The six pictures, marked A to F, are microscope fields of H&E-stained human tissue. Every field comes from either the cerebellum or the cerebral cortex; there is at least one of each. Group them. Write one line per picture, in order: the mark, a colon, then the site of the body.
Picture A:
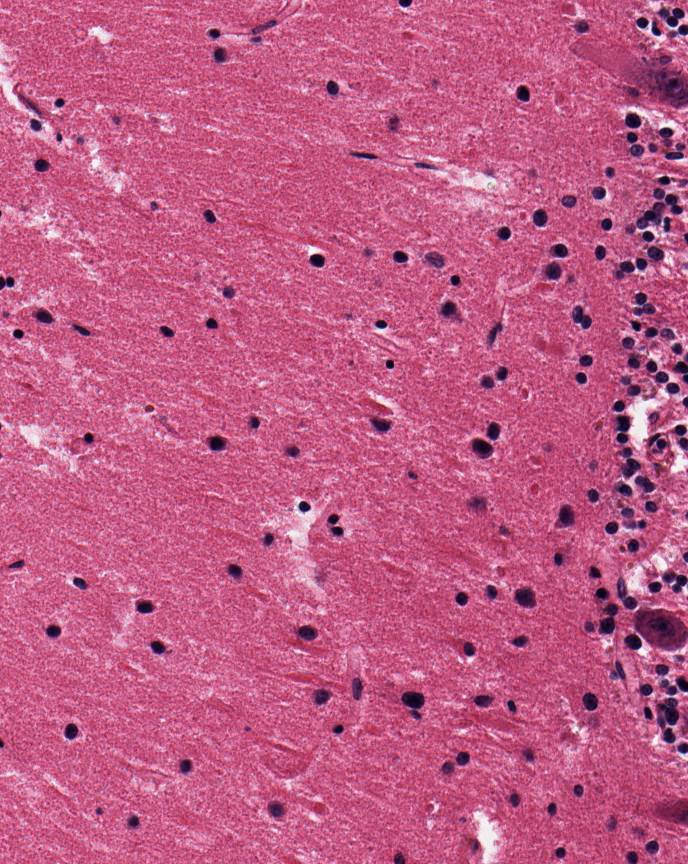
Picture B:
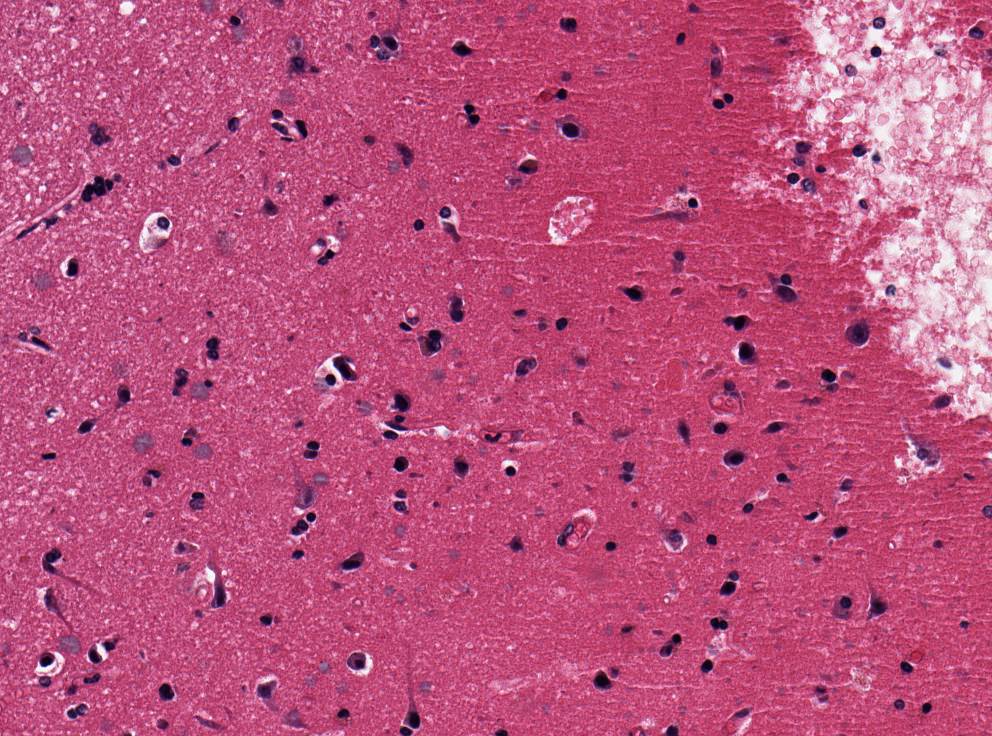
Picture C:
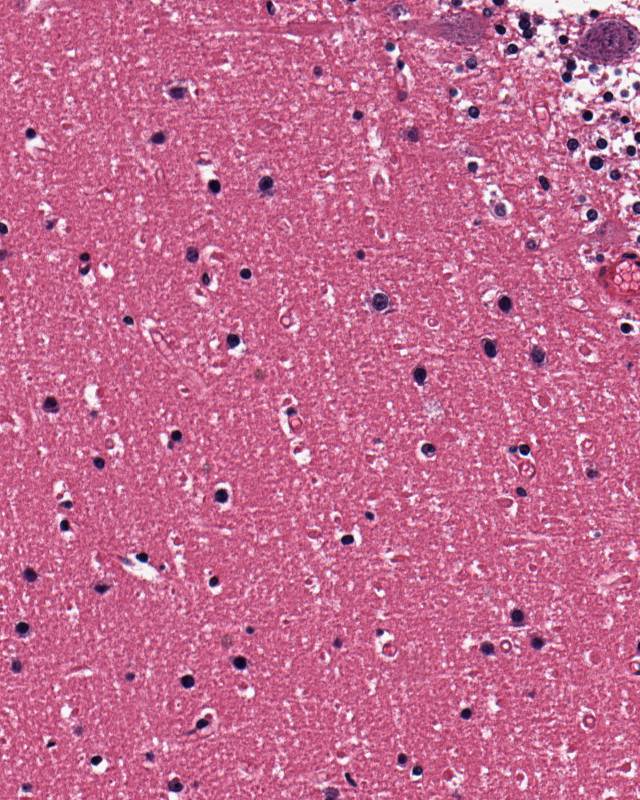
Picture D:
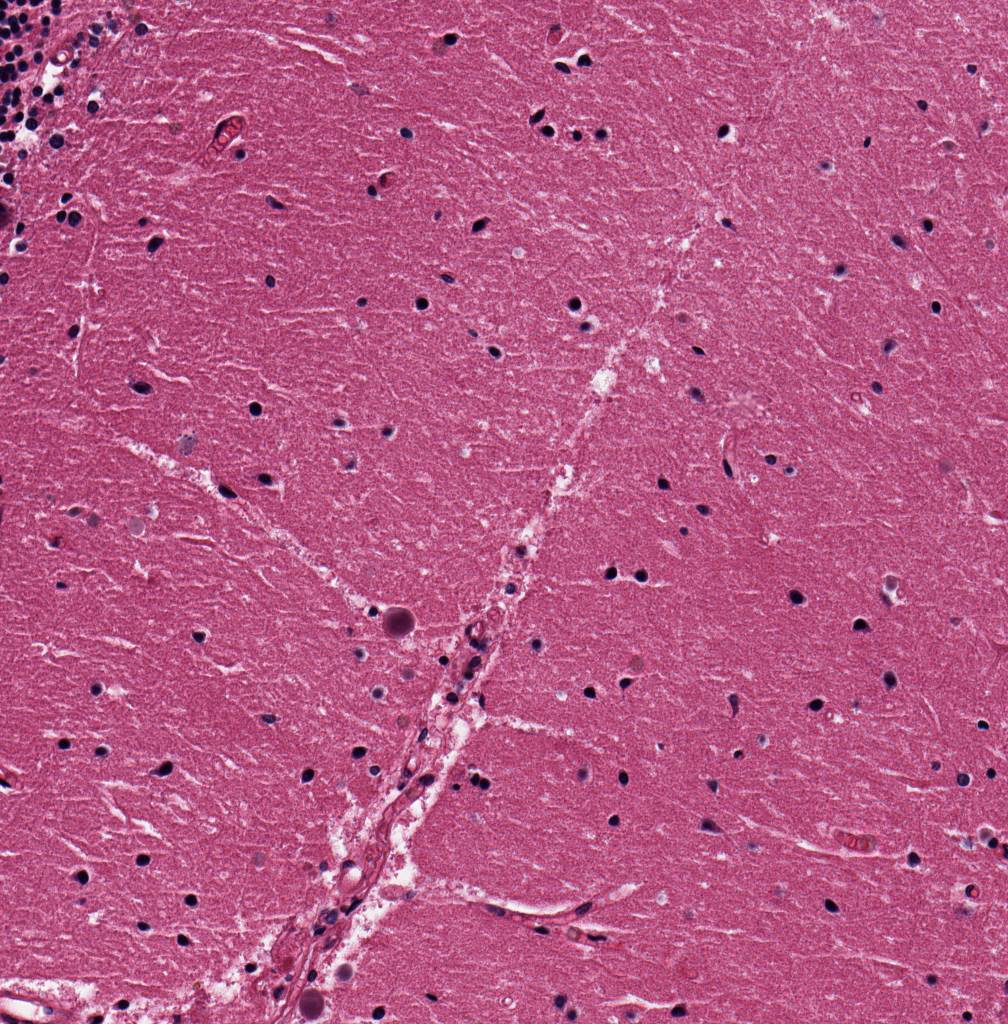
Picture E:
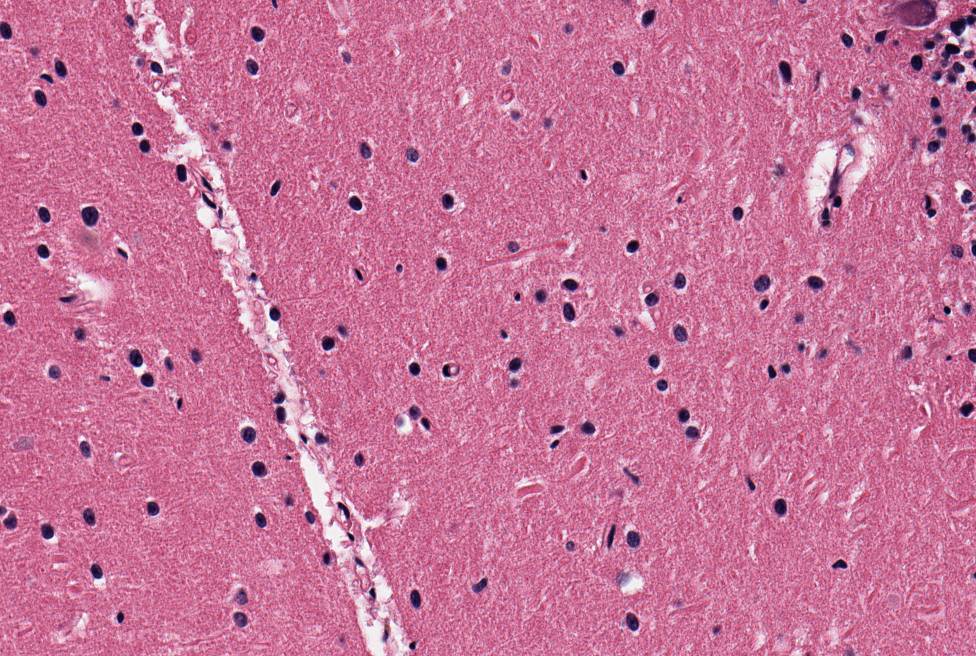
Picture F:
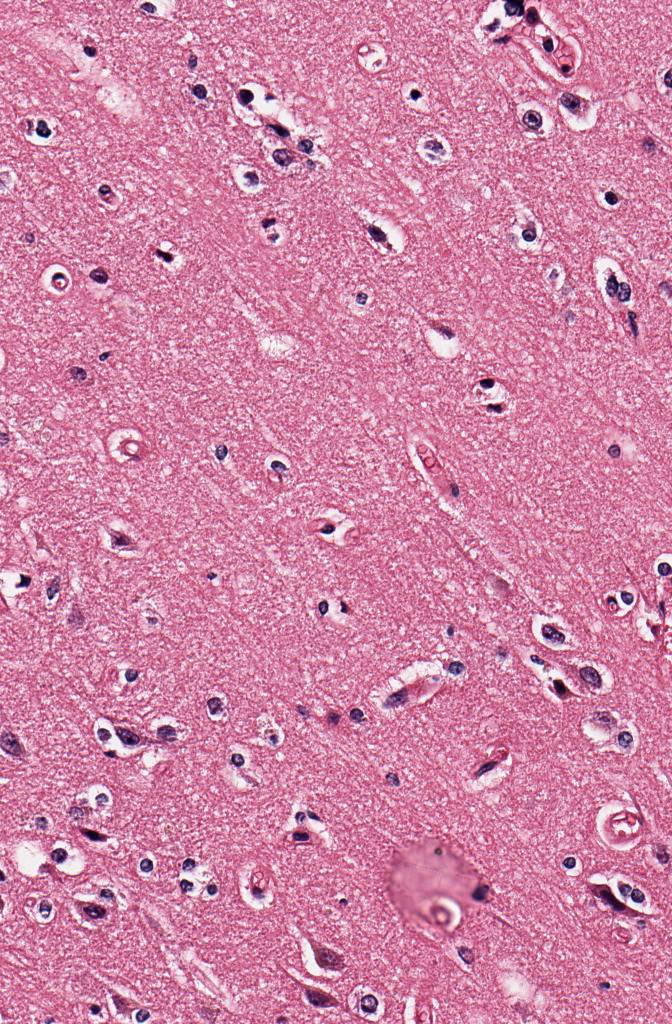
A: cerebellum
B: cerebral cortex
C: cerebellum
D: cerebellum
E: cerebellum
F: cerebral cortex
